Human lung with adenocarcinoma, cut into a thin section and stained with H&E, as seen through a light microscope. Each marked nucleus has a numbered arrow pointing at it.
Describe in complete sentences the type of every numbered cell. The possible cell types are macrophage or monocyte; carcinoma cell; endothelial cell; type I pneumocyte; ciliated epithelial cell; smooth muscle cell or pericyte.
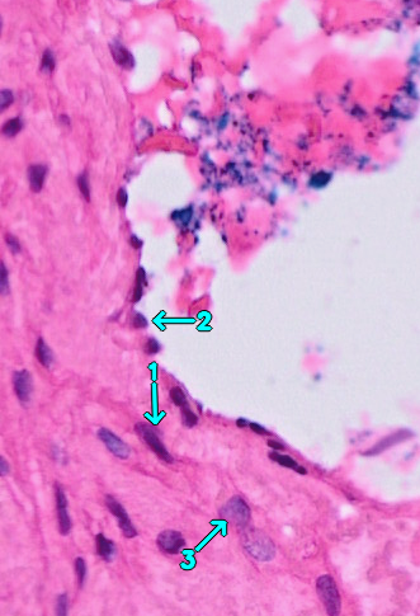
Cells 1 and 3 are smooth muscle cells or pericytes. Cell 2 is an endothelial cell.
